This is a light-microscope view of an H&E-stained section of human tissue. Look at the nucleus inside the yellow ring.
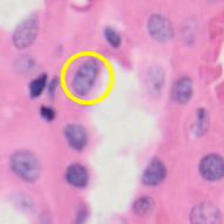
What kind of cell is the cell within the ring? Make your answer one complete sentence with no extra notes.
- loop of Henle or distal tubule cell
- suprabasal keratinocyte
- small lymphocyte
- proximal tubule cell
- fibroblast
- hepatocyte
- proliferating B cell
So far as cell type goes, the cell within the ring is a loop of Henle or distal tubule cell.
